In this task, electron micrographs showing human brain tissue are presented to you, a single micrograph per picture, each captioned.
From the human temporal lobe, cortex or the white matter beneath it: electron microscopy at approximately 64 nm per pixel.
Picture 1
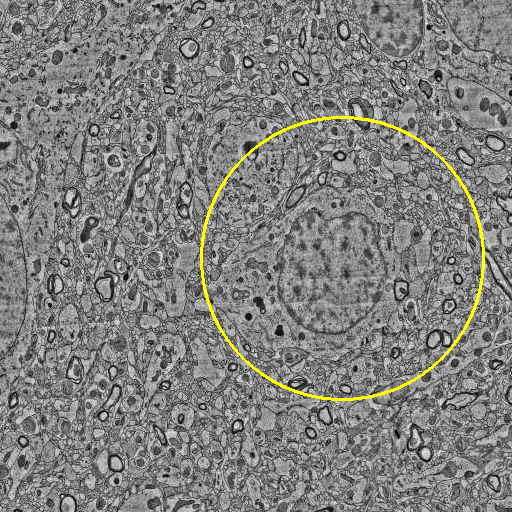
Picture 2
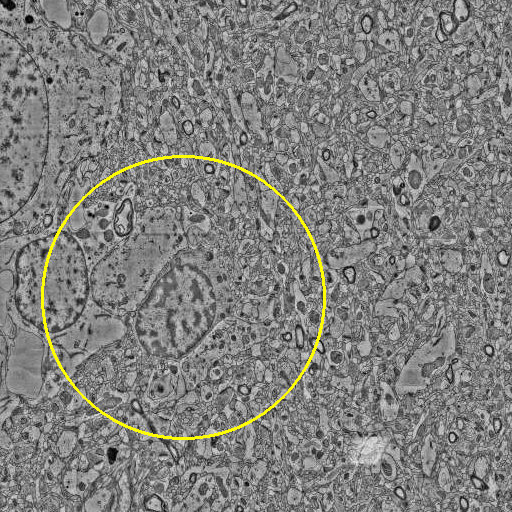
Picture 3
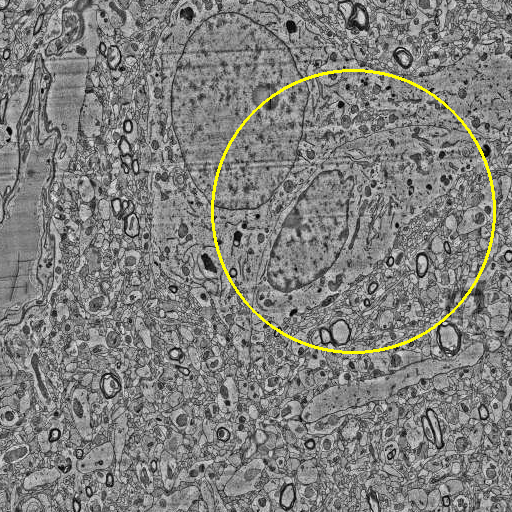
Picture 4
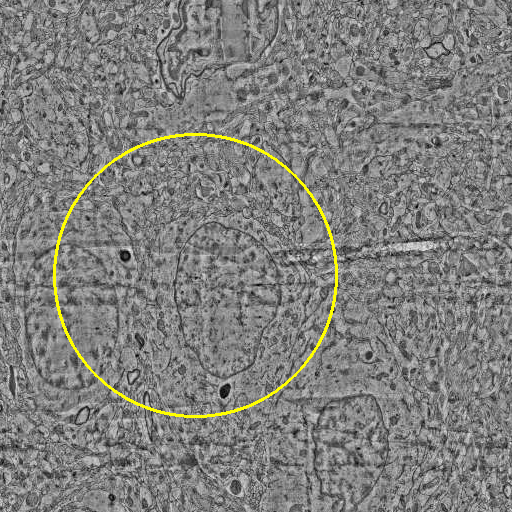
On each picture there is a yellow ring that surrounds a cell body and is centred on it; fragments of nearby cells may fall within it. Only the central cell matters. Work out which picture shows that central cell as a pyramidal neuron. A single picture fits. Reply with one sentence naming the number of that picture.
Of all the pictures, number 4 has the right cell in the centre of its ring.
